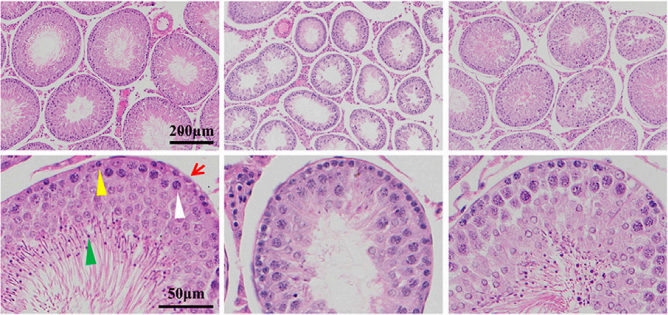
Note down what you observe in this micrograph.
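The upper row shows many round cross-sections of seminiferous tubules, each lined by a thick, many-layered epithelium of purple nuclei around a central lumen, and in some columns the tubules look smaller with wider gaps between them. The enlarged lower row shows one sector of a tubule wall: flattened and pale-nucleated Sertoli cells and small dark spermatogonia rest on the basement membrane, larger round primary spermatocytes lie above them, and small condensed spermatids sit toward the lumen. In several enlargements pink bundles of tails fill the lumen, while in one the lumen holds only loose pale material.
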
